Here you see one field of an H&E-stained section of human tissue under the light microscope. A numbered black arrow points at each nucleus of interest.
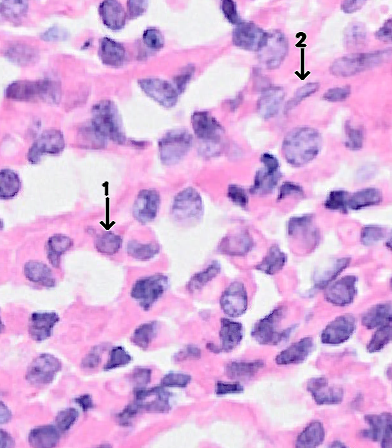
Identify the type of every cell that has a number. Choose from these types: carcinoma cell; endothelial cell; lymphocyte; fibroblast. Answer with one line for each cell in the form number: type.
1: carcinoma cell
2: endothelial cell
